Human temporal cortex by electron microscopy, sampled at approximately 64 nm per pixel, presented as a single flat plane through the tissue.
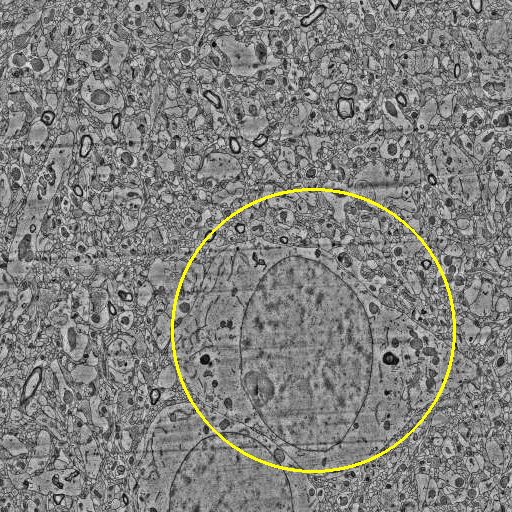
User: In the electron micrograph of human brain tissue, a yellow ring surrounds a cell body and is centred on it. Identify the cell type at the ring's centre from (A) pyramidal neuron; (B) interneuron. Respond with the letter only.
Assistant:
A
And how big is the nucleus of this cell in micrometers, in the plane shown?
In this plane the nucleus measures roughly 13 by 9 micrometers.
